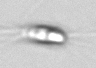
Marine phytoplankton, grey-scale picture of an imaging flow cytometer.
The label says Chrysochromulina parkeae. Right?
Right.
